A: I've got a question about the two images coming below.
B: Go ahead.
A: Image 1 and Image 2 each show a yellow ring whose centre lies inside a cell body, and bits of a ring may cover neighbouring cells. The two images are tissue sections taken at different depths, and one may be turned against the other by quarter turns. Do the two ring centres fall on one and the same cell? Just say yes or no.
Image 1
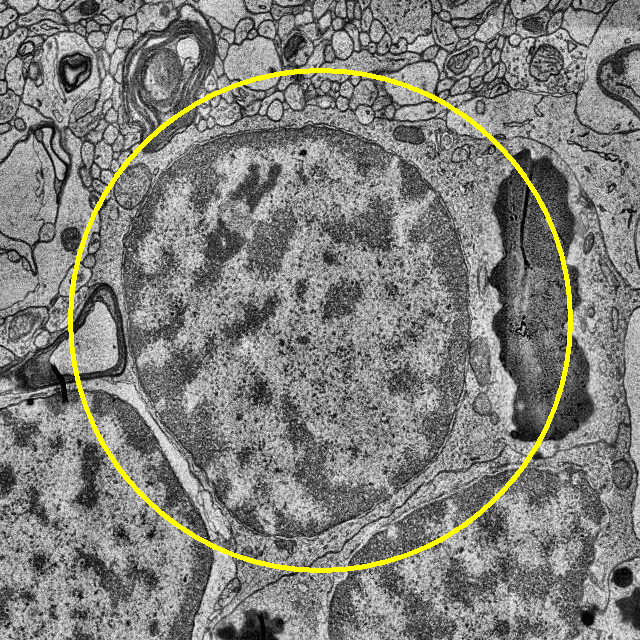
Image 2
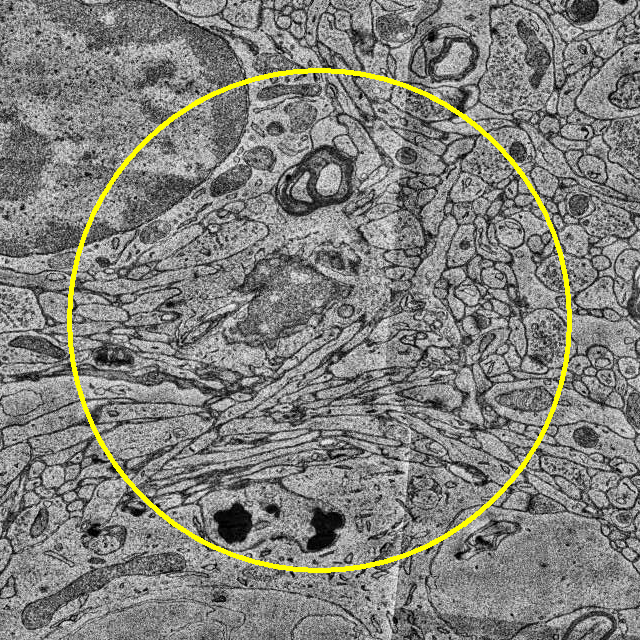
yes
